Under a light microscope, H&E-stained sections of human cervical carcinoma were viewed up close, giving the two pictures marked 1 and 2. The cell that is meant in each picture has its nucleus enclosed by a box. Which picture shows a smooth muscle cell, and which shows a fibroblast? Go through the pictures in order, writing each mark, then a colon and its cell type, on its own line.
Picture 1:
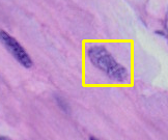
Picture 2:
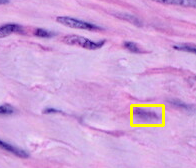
1: fibroblast
2: smooth muscle cell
